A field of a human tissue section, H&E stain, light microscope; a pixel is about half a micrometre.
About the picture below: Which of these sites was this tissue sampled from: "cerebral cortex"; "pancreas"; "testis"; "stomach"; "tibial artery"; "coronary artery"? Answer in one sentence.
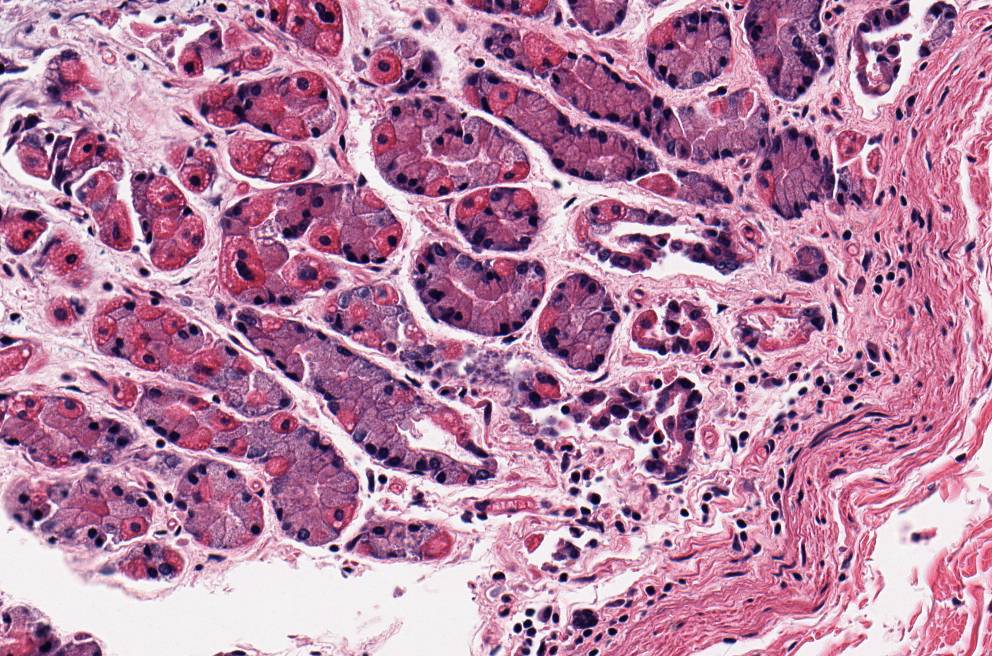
The site this tissue was sampled from is the stomach.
